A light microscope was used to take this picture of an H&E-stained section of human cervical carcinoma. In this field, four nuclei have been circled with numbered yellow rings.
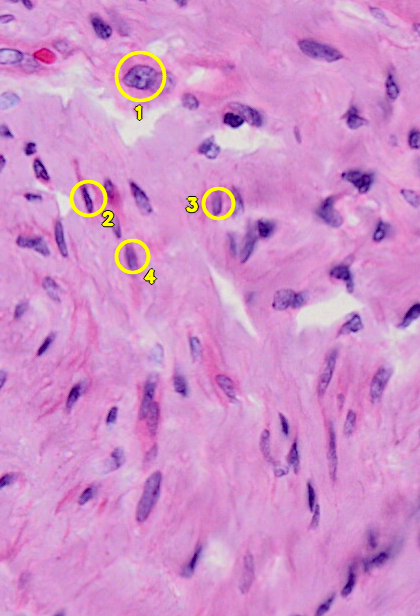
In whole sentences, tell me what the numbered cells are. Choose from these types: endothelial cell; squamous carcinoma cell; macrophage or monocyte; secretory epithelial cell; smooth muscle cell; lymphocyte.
Cell 1 is an endothelial cell. Cells 2, 3 and 4 are smooth muscle cells.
